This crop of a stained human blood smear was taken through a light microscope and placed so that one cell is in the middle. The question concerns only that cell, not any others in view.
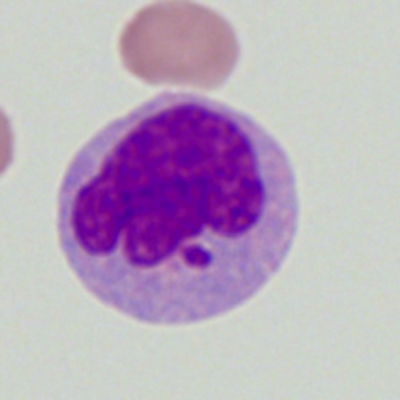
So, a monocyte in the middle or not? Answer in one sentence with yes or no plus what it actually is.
Yes, the cell sitting in the middle of this smear crop is a monocyte.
